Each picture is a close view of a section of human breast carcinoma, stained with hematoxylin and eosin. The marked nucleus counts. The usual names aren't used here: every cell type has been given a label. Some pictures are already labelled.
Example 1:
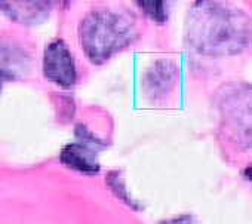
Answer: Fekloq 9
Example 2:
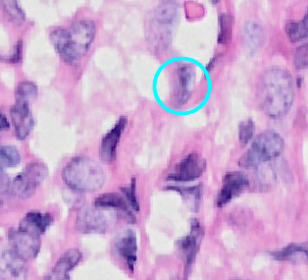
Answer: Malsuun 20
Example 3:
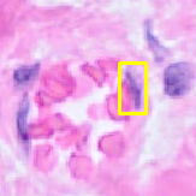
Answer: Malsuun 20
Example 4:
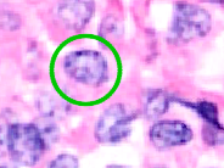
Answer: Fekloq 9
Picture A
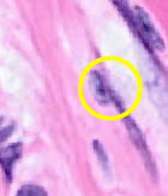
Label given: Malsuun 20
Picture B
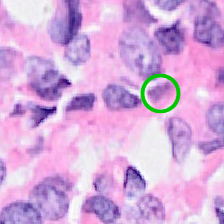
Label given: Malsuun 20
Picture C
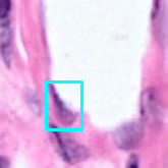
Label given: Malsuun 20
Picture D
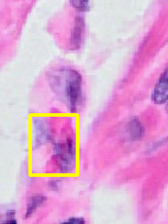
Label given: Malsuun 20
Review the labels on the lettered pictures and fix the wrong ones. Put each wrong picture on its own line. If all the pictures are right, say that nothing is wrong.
B is labelled Malsuun 20; correct label: Fekloq 9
